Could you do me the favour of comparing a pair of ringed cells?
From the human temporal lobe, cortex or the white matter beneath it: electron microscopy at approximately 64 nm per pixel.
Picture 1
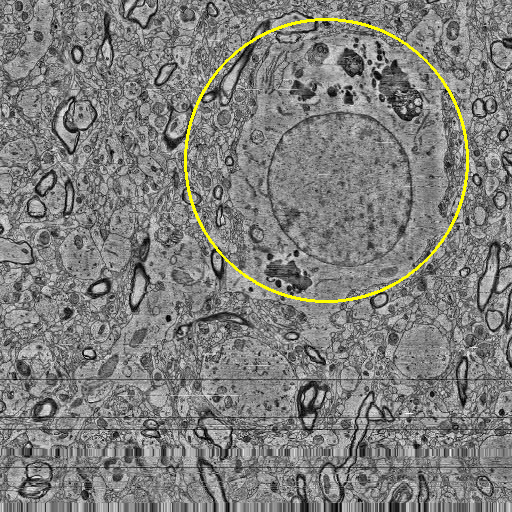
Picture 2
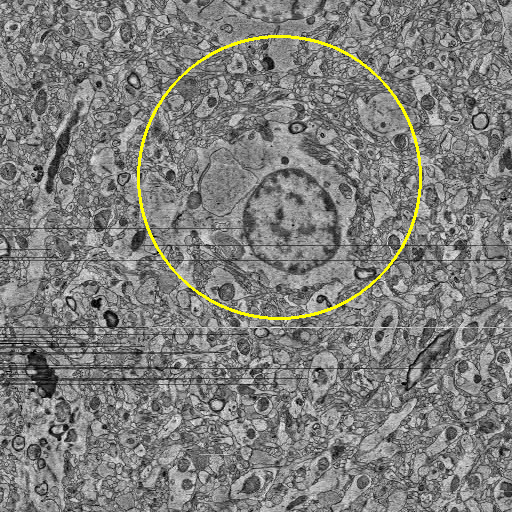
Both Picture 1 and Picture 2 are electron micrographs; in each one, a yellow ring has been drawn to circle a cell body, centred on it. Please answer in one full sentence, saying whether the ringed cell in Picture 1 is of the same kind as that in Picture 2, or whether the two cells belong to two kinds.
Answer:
The ringed cell in Picture 1 is of the same kind as that in Picture 2.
